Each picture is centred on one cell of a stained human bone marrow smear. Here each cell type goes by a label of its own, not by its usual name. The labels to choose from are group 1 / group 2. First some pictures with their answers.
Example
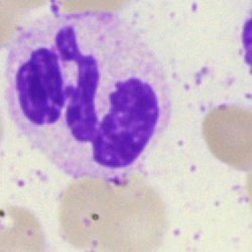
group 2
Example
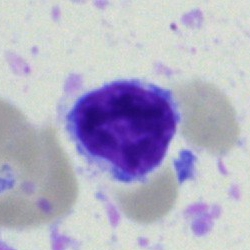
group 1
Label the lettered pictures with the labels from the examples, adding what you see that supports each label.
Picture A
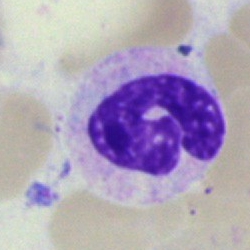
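Answer: group 2. The nucleus is a thick curved band bent around a small pale central gap.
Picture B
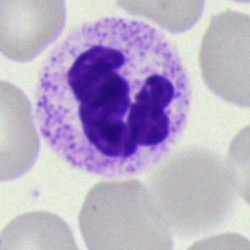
Answer: group 2. The cytoplasm is plentiful and pale lilac-pink.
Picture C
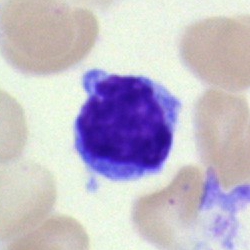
Answer: group 1. The cytoplasm is scant, forming only a thin rim around the nucleus.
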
